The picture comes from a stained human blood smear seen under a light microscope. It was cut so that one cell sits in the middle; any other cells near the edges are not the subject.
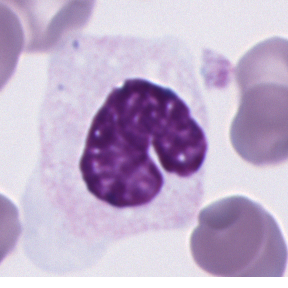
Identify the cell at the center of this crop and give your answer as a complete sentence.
By classification, the middle cell of this crop is a band neutrophil.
